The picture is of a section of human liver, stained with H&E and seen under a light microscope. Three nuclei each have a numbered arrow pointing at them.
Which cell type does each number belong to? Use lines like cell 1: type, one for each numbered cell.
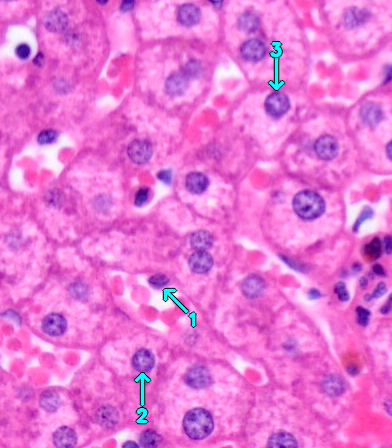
cell 1: Kupffer cell
cell 2: hepatocyte
cell 3: hepatocyte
